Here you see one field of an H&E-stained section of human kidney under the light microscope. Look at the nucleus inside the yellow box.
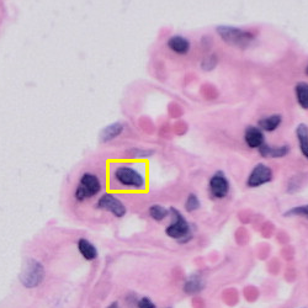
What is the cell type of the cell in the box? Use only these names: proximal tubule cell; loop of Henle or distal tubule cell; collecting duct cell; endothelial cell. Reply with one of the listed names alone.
endothelial cell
